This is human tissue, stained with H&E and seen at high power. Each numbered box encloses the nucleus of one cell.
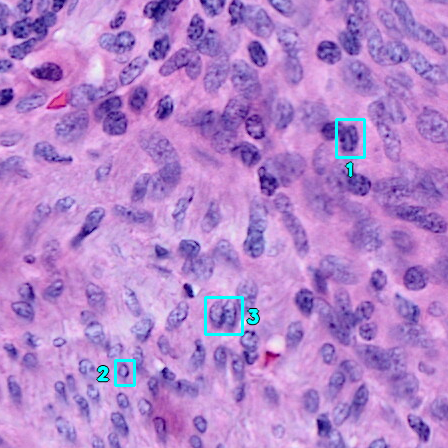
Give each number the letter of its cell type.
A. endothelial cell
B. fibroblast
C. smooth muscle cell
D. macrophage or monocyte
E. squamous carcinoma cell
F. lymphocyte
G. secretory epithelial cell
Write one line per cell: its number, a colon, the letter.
1: F
2: C
3: A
